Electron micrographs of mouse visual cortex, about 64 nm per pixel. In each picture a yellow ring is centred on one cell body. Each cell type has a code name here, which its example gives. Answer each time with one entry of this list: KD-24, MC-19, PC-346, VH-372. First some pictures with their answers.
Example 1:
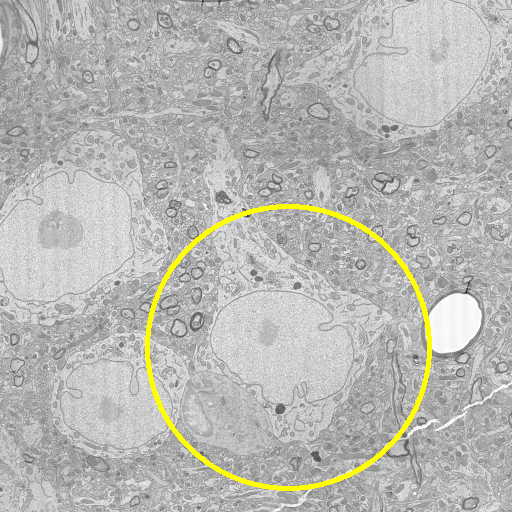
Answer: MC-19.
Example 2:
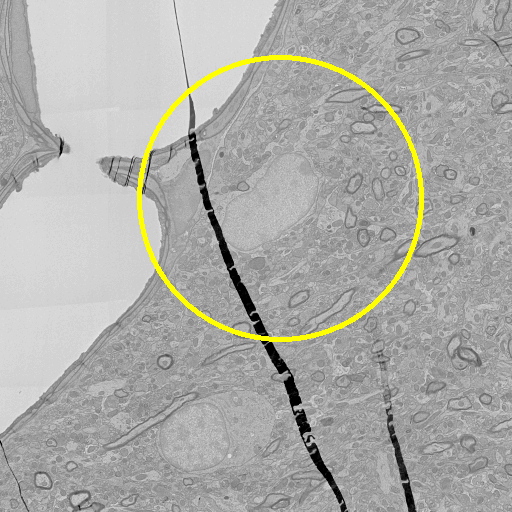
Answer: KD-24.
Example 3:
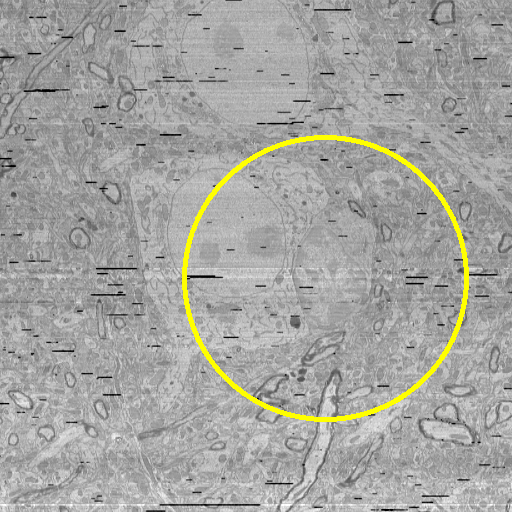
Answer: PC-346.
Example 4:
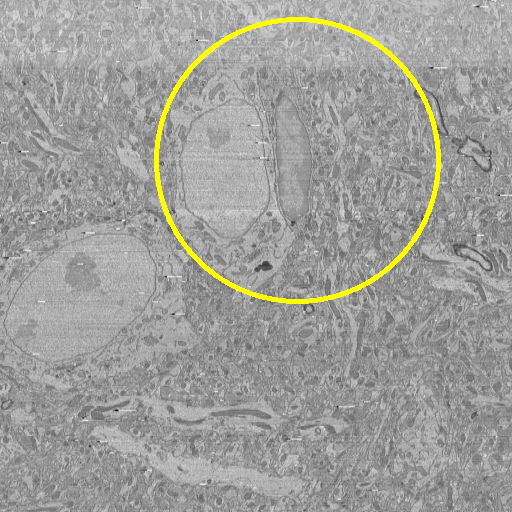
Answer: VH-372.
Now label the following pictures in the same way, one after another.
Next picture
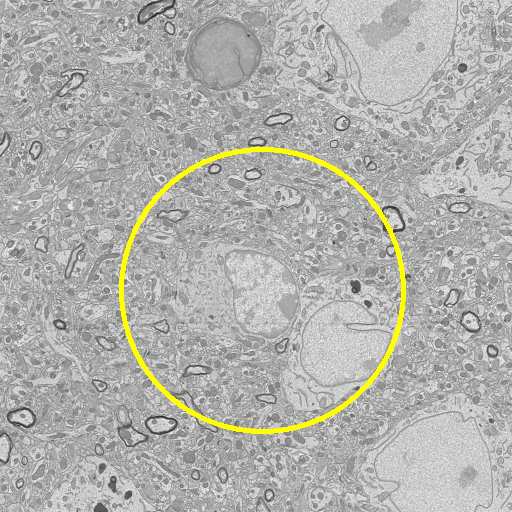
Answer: PC-346.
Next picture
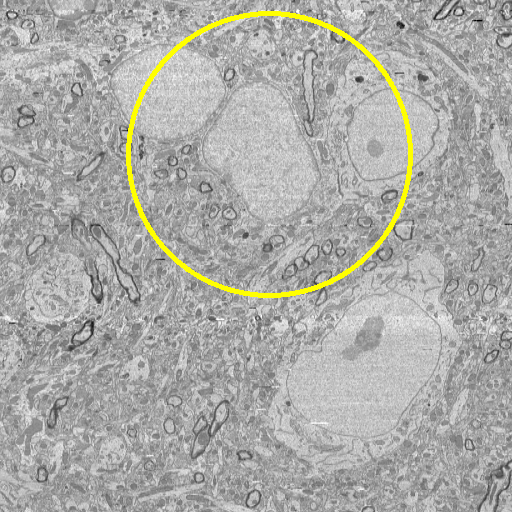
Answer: KD-24.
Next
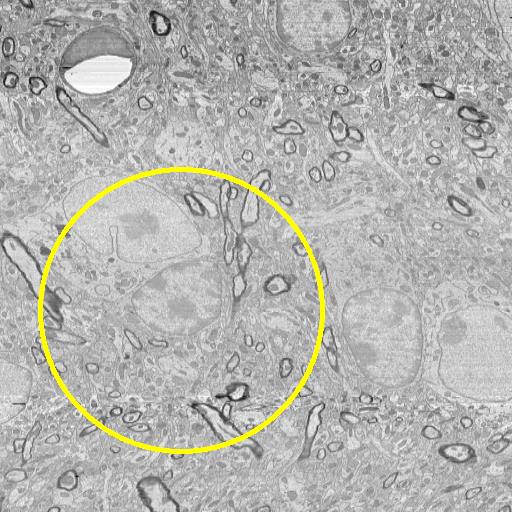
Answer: PC-346.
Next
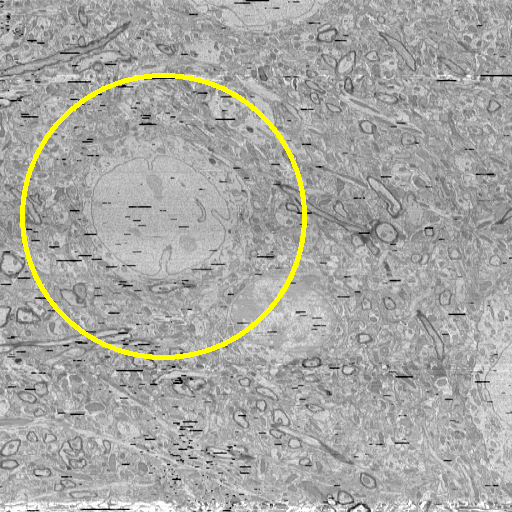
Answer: MC-19.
